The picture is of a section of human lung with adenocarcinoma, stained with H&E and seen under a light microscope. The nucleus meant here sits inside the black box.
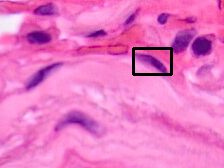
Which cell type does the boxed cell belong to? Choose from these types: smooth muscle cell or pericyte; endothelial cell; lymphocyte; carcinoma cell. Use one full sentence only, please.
Among the cells in this section, the boxed cell is an endothelial cell.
